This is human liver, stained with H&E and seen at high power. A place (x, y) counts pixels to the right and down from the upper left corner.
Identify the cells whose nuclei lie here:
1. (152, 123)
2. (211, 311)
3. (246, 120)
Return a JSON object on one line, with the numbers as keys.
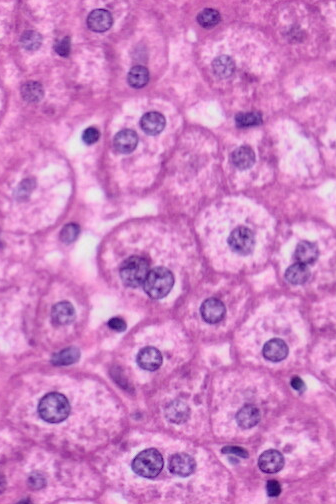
{"1": "hepatocyte", "2": "hepatocyte", "3": "fibroblast or stellate cell"}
